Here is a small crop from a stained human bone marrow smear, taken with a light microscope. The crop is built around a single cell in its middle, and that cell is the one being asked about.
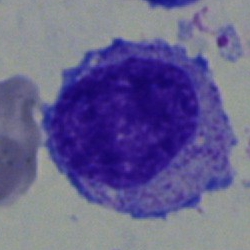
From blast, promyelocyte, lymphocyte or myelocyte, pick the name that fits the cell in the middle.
myelocyte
